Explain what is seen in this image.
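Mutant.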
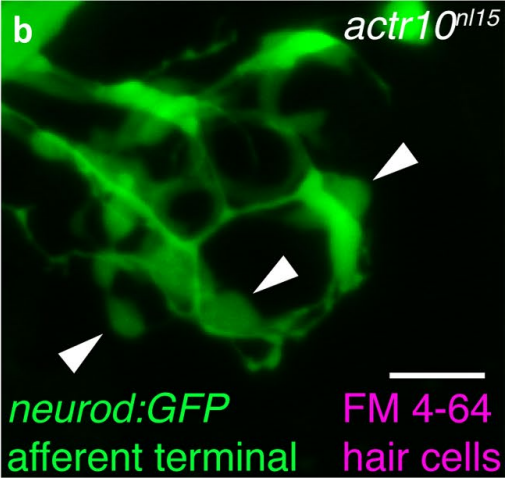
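The green processes still outline roughly round spaces where hair cells sit, but they are thick and irregular. Several large bulbous swellings lie along the terminal branches, marked by arrowheads.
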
